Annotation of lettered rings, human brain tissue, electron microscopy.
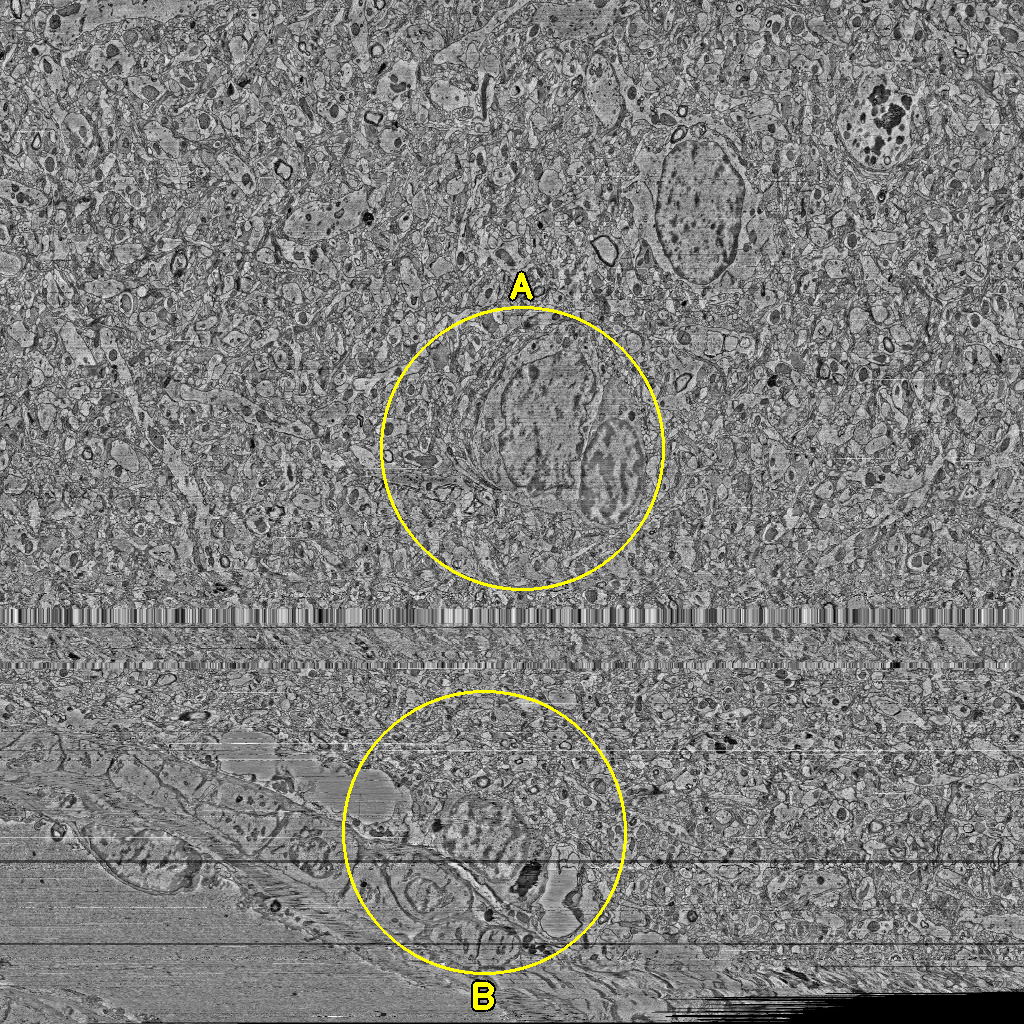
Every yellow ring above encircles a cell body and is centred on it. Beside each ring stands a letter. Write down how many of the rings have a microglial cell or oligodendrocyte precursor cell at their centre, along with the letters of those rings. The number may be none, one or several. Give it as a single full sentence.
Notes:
Zero yellow rings have a microglial cell or oligodendrocyte precursor cell at their centre in this micrograph.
